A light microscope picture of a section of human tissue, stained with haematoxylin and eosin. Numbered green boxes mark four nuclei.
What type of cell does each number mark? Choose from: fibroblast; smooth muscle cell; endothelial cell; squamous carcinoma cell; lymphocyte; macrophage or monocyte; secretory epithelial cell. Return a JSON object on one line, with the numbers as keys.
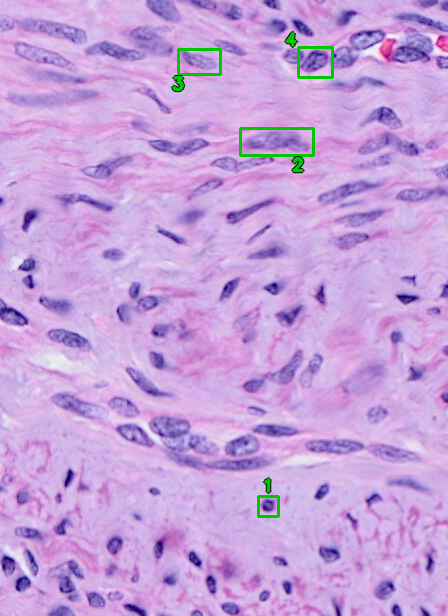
{"1": "smooth muscle cell", "2": "smooth muscle cell", "3": "smooth muscle cell", "4": "endothelial cell"}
